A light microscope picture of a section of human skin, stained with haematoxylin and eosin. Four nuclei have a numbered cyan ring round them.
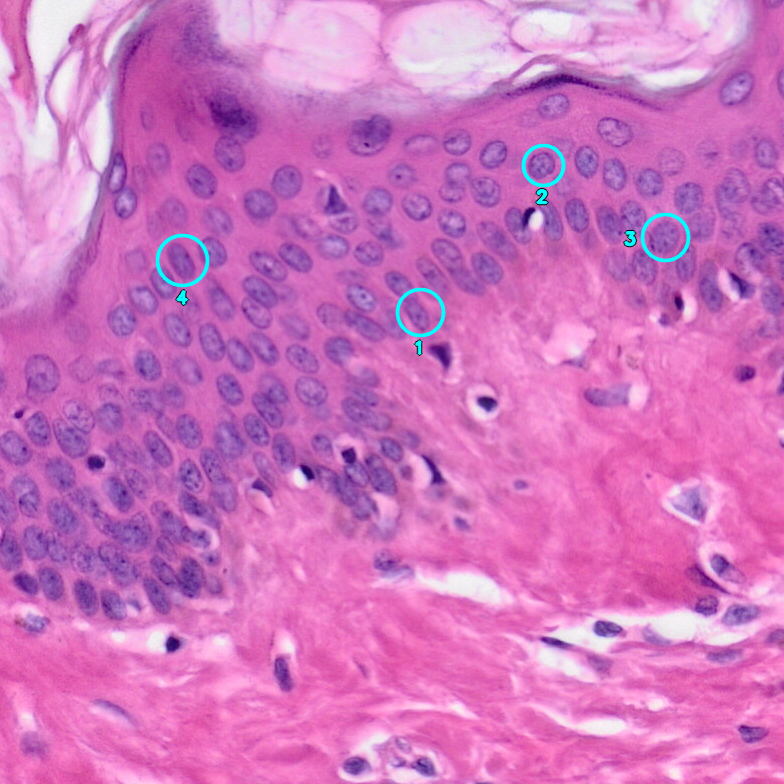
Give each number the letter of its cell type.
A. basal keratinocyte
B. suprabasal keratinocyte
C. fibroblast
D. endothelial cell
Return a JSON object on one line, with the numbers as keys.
{"1": "A", "2": "B", "3": "B", "4": "B"}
